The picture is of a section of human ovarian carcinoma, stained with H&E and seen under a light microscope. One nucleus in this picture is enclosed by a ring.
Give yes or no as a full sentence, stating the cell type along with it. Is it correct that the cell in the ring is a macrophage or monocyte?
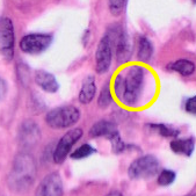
No, the right answer is that the cell in the ring is a carcinoma cell, not a macrophage or monocyte.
